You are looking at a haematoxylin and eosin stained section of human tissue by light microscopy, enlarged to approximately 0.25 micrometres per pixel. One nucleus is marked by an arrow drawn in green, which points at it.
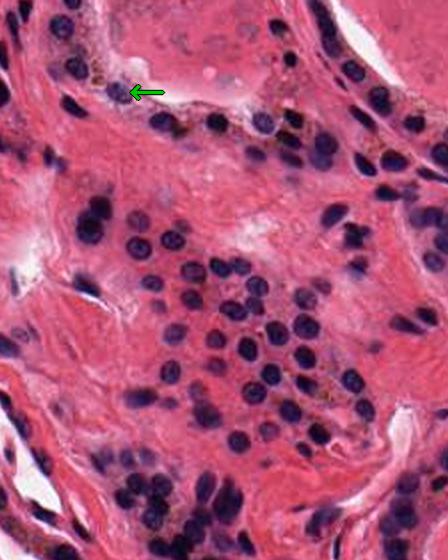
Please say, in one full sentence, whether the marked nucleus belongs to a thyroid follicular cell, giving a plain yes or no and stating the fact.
Yes, the marked nucleus is contained in a thyroid follicular cell.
